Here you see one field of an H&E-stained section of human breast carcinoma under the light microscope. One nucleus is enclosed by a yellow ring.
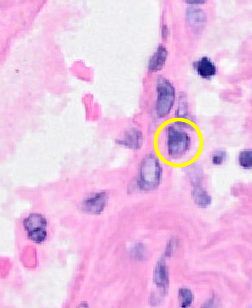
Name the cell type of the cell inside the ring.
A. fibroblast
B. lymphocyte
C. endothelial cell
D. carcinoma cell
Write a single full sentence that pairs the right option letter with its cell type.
Option C, which has the cell inside the ring as an endothelial cell, is the correct choice.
